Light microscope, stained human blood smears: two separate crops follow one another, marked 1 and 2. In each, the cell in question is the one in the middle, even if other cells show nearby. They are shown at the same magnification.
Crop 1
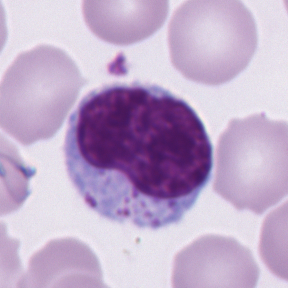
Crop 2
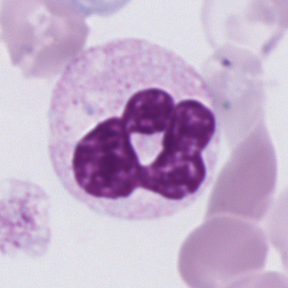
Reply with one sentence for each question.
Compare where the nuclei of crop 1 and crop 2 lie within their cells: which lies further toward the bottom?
It is the nucleus in crop 2 that lies further toward the bottom of its cell.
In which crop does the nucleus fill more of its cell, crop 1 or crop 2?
In crop 1 the nucleus takes up the larger part of its cell.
